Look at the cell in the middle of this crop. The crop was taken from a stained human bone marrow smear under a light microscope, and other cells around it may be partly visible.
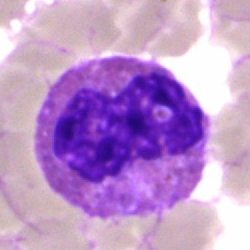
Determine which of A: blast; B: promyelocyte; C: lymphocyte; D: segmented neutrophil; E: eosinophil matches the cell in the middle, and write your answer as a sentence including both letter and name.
Of the choices given, option E is right, as the central cell is an eosinophil.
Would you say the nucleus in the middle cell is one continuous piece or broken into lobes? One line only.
The nuclear outline breaks up into two or more lobes.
